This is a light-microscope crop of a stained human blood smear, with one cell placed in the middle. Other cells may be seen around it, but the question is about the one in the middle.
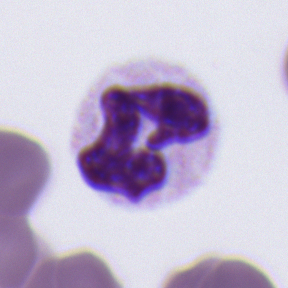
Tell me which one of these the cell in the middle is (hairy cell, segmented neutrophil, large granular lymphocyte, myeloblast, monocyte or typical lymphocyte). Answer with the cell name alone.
segmented neutrophil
